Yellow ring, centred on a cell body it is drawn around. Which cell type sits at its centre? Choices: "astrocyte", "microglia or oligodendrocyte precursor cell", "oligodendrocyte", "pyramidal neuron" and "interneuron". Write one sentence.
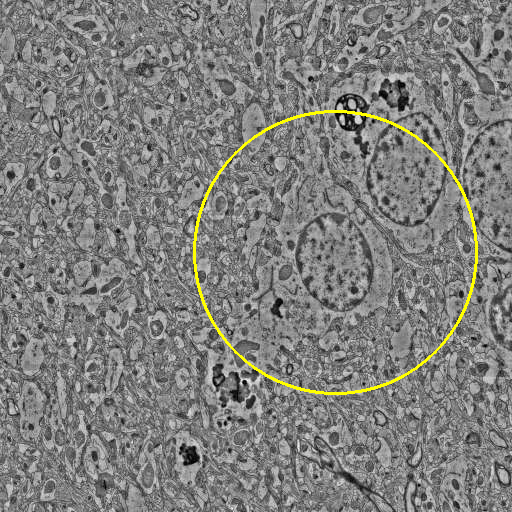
At the centre of the ring sits an astrocyte.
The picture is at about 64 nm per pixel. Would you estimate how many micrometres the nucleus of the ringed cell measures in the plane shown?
Roughly 6 by 5 micrometres in this plane, for the nucleus of the ringed cell.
